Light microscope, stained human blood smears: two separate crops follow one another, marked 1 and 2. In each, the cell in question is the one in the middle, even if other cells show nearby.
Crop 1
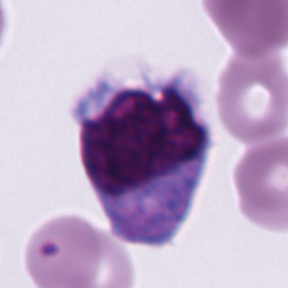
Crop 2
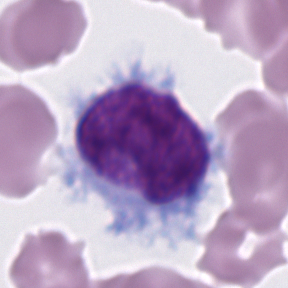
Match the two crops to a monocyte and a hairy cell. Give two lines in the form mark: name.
1: monocyte
2: hairy cell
